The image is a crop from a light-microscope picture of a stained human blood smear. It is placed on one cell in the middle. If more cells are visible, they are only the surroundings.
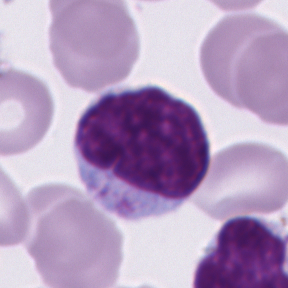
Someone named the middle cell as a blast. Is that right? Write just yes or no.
no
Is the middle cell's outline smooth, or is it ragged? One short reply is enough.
In short, the margin is smooth with no projections at all.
